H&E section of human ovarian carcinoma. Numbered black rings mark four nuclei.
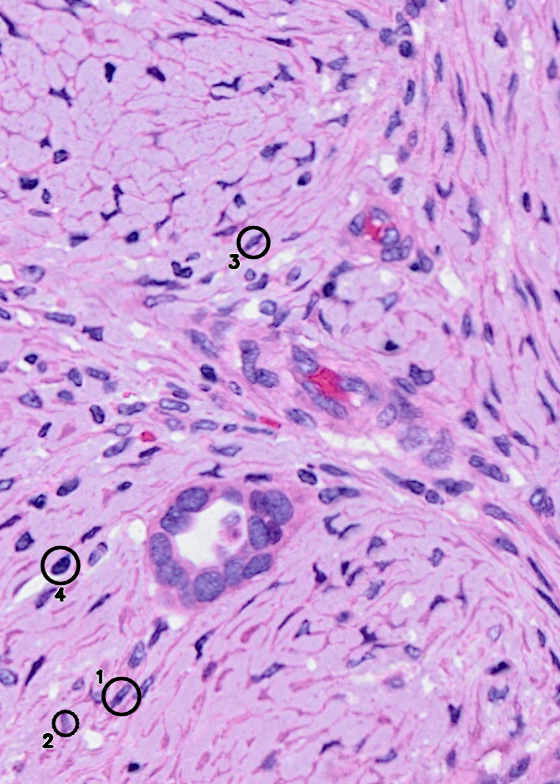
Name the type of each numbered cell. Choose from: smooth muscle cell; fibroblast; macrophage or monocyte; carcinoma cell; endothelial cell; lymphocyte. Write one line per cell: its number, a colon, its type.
1: fibroblast
2: fibroblast
3: fibroblast
4: lymphocyte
